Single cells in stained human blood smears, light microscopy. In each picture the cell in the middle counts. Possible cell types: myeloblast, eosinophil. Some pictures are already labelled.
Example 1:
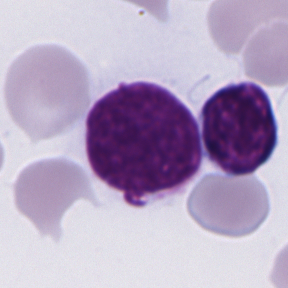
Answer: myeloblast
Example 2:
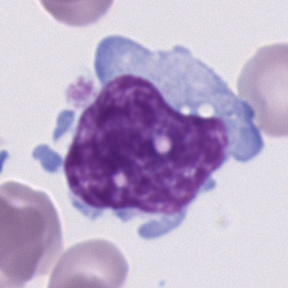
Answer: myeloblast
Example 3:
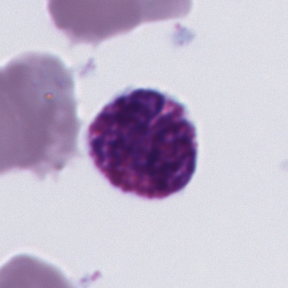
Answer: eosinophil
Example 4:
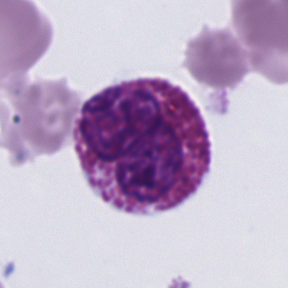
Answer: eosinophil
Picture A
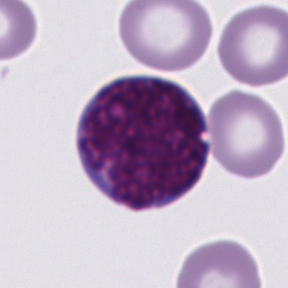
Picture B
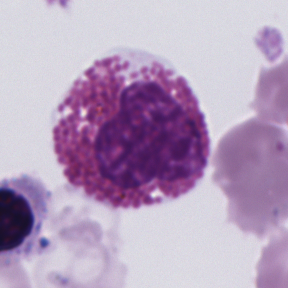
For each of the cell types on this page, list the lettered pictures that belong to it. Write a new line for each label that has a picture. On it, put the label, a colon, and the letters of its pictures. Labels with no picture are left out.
myeloblast: A
eosinophil: B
